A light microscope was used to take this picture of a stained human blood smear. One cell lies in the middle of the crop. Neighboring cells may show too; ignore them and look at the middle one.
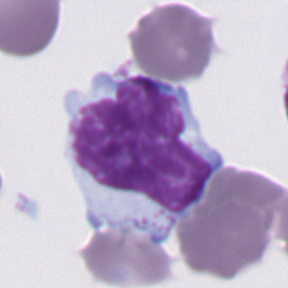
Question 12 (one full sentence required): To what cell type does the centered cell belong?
Standing at the centre of this crop is a large granular lymphocyte.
